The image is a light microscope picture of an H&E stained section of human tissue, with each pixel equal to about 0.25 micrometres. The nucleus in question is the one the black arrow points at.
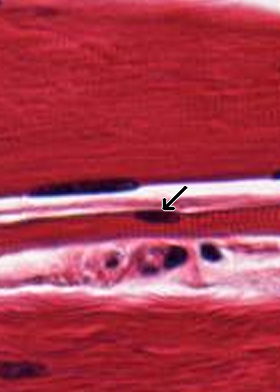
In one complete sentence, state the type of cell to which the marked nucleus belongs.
The cell bearing the marked nucleus is a skeletal muscle fibre.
